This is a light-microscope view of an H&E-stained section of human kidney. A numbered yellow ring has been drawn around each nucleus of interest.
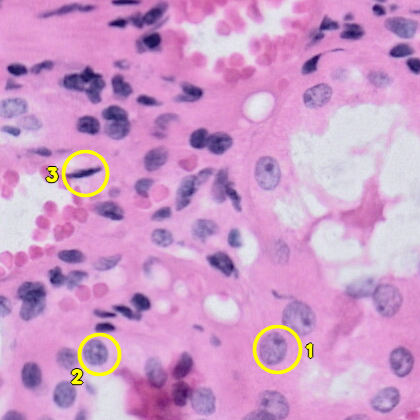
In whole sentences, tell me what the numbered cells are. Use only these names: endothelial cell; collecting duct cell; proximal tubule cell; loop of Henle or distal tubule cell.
Cell 1 is a proximal tubule cell. Cell 2 is a collecting duct cell. Cell 3 is an endothelial cell.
